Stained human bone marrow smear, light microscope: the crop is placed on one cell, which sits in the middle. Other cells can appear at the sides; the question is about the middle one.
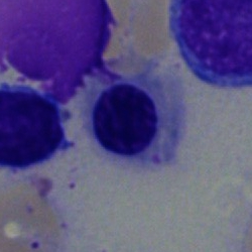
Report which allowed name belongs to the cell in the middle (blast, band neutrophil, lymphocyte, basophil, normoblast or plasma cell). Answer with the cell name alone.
normoblast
